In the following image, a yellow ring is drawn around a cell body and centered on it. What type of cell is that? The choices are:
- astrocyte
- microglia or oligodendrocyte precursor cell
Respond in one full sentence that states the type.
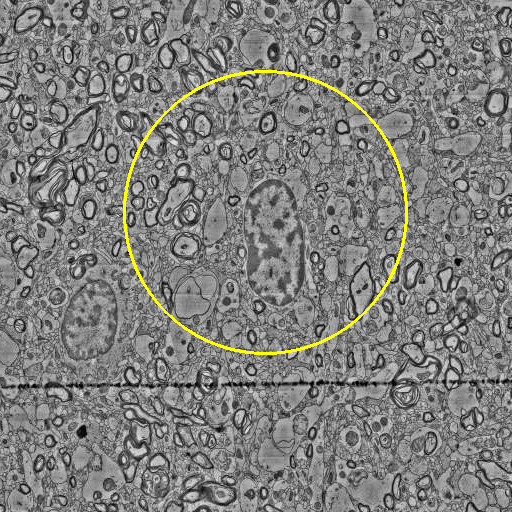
The cell at the center of the yellow ring in the image is a microglial cell or oligodendrocyte precursor cell.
